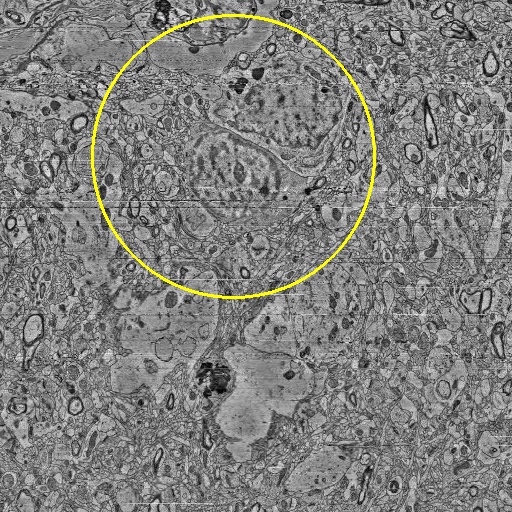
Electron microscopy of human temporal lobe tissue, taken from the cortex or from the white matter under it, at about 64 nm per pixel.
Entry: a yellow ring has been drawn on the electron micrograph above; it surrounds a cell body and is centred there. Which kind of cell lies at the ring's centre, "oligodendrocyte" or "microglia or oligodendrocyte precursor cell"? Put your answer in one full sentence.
The cell sitting at the ring's centre is an oligodendrocyte in the micrograph above.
